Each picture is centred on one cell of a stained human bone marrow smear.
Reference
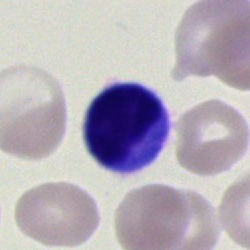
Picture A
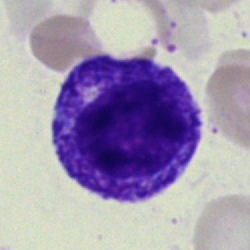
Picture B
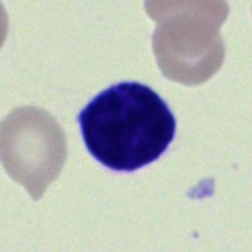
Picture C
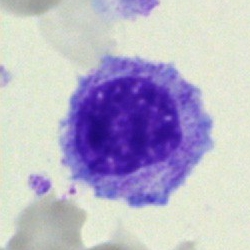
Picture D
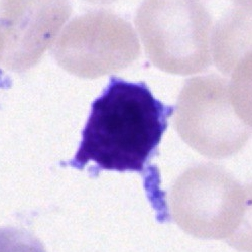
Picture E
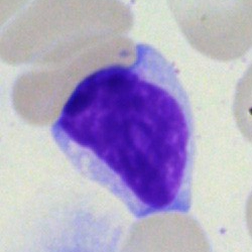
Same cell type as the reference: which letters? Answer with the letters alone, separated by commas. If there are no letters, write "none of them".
B, D, E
